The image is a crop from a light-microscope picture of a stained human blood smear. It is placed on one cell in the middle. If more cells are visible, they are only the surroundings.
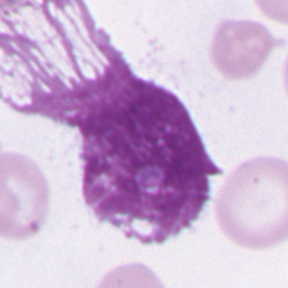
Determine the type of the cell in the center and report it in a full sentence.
The central cell in this smear crop is a smudge cell.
